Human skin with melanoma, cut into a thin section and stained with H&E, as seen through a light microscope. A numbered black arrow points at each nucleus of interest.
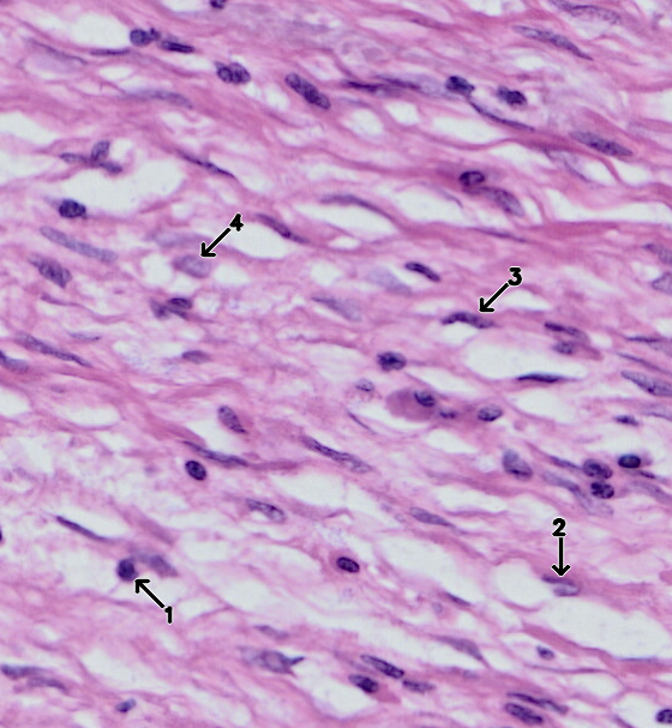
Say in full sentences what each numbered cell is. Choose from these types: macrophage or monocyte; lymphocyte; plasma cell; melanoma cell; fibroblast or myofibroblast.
Cell 1 is a lymphocyte. Cells 2, 3 and 4 are fibroblasts or myofibroblasts.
